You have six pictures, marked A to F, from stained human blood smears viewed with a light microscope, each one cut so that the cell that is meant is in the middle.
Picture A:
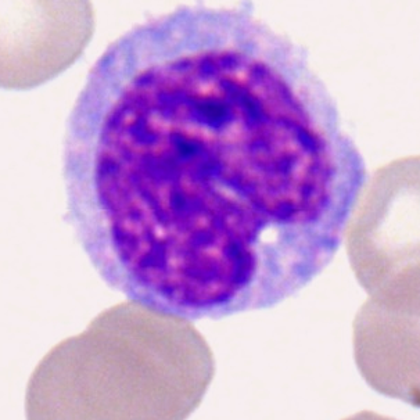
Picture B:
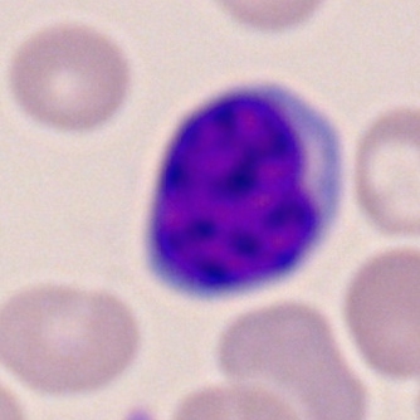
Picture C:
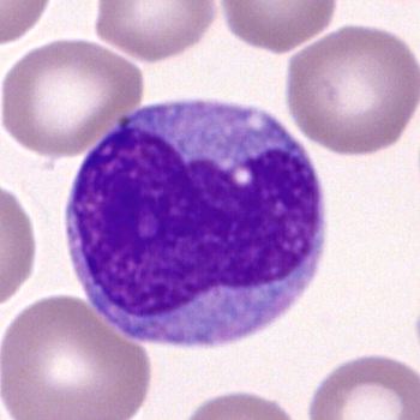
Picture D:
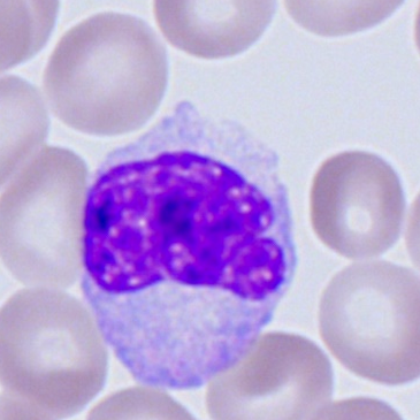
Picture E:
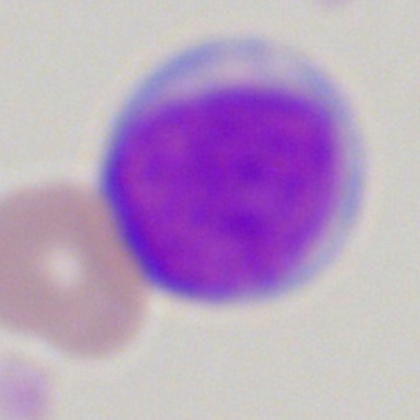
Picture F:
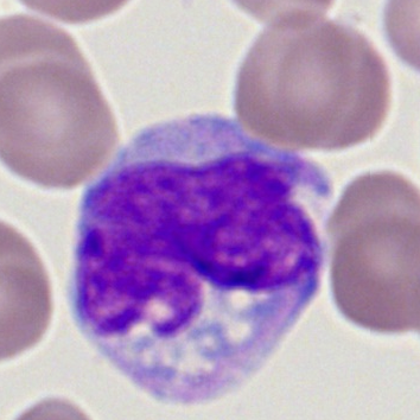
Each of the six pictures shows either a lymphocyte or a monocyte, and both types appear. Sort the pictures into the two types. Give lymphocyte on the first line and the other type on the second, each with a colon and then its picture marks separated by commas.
lymphocyte: B, E
monocyte: A, C, D, F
